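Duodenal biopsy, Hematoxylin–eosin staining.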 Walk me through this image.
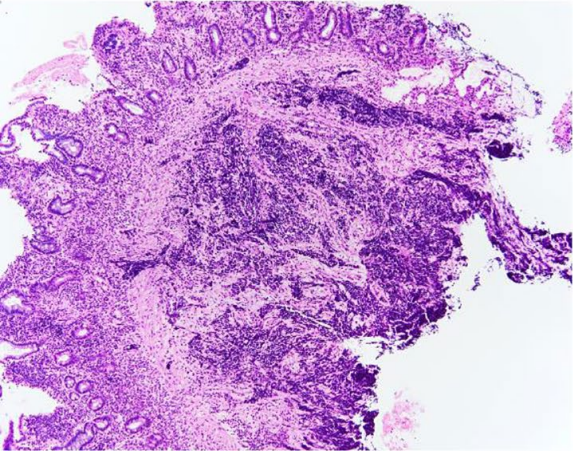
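Crypts and glands run along the surface, and below them a dense mass of small, dark purple cells forms nests and sheets. Pale pink fibrous strands divide the mass.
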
